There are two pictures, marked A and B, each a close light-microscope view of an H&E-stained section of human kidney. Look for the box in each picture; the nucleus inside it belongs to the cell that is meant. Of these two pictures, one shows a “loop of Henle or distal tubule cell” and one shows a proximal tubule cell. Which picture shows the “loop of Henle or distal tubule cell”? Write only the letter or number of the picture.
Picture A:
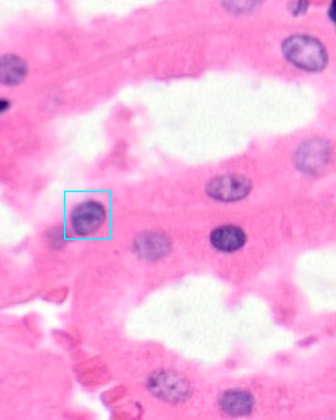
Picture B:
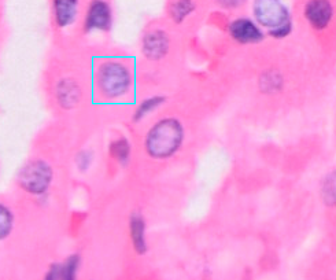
B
